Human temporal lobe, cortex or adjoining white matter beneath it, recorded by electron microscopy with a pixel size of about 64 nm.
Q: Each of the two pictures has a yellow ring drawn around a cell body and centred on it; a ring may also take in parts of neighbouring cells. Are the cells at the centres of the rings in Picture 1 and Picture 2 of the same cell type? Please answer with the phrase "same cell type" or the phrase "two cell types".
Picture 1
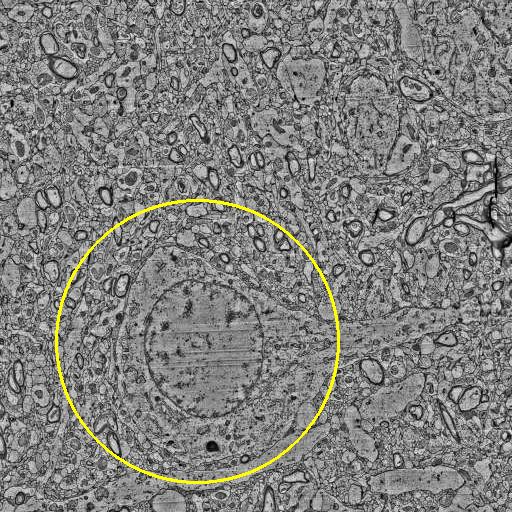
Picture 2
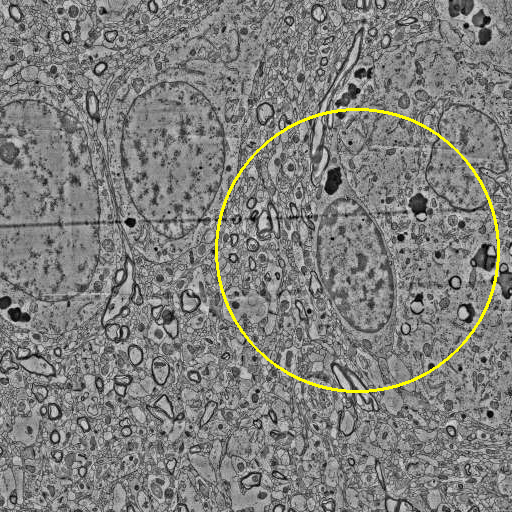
two cell types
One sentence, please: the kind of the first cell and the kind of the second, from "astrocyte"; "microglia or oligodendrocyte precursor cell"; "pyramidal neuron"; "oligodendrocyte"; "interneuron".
The ring in the first picture surrounds a pyramidal neuron, and the ring in the second surrounds an oligodendrocyte.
